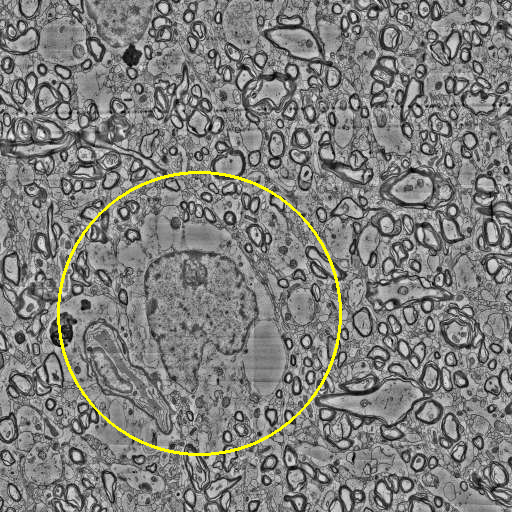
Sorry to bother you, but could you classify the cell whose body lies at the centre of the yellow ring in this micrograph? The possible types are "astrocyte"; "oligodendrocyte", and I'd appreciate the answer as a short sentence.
The ringed cell body is that of an astrocyte.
